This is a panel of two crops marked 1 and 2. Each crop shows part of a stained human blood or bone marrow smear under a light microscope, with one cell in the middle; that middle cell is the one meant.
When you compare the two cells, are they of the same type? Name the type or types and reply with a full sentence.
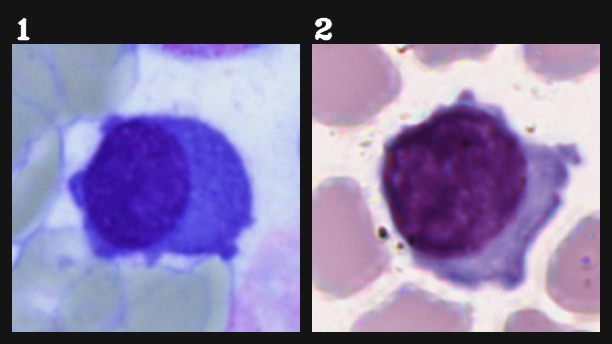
Yes, plasma cells lie at the centre of both crops.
